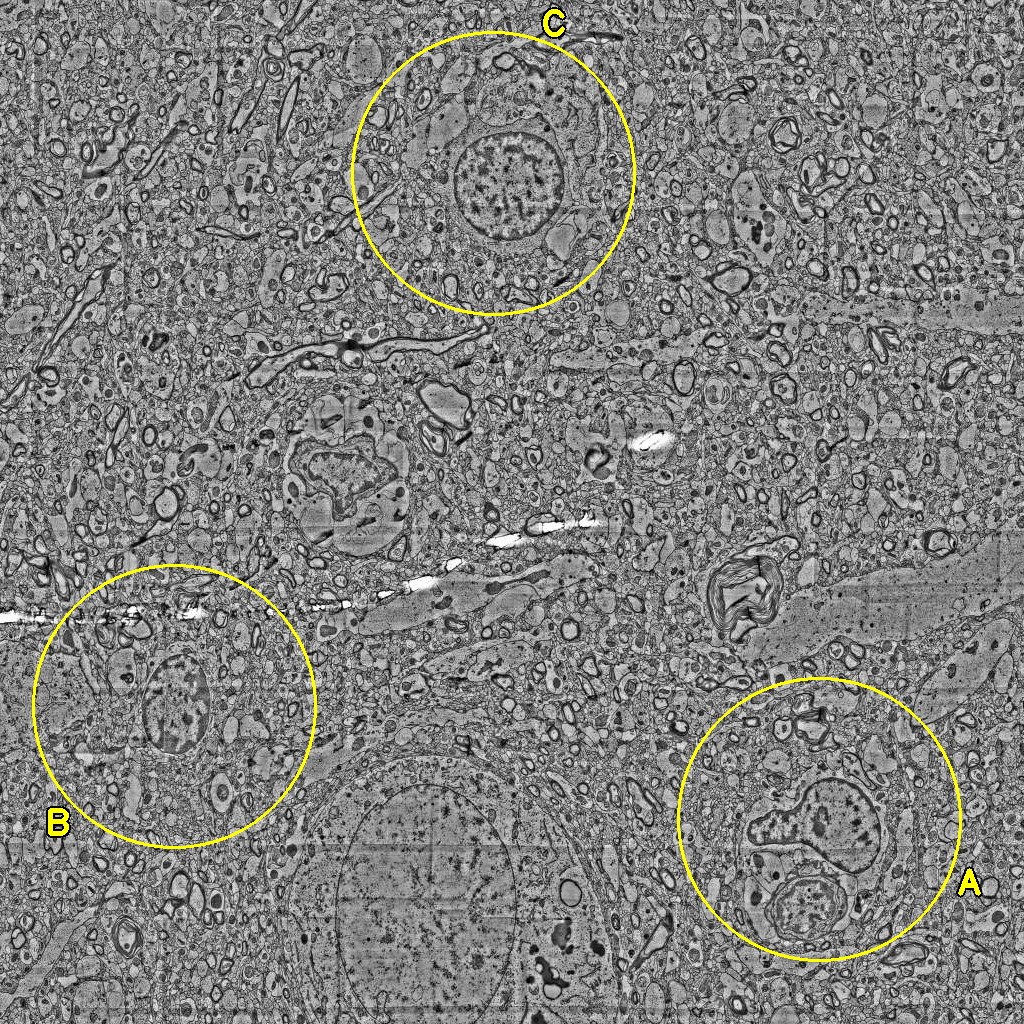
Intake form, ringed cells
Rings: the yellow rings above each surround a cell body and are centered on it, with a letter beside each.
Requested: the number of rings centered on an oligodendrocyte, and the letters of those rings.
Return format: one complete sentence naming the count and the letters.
Just one ring is centred on an oligodendrocyte, with the letter C placed beside it.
